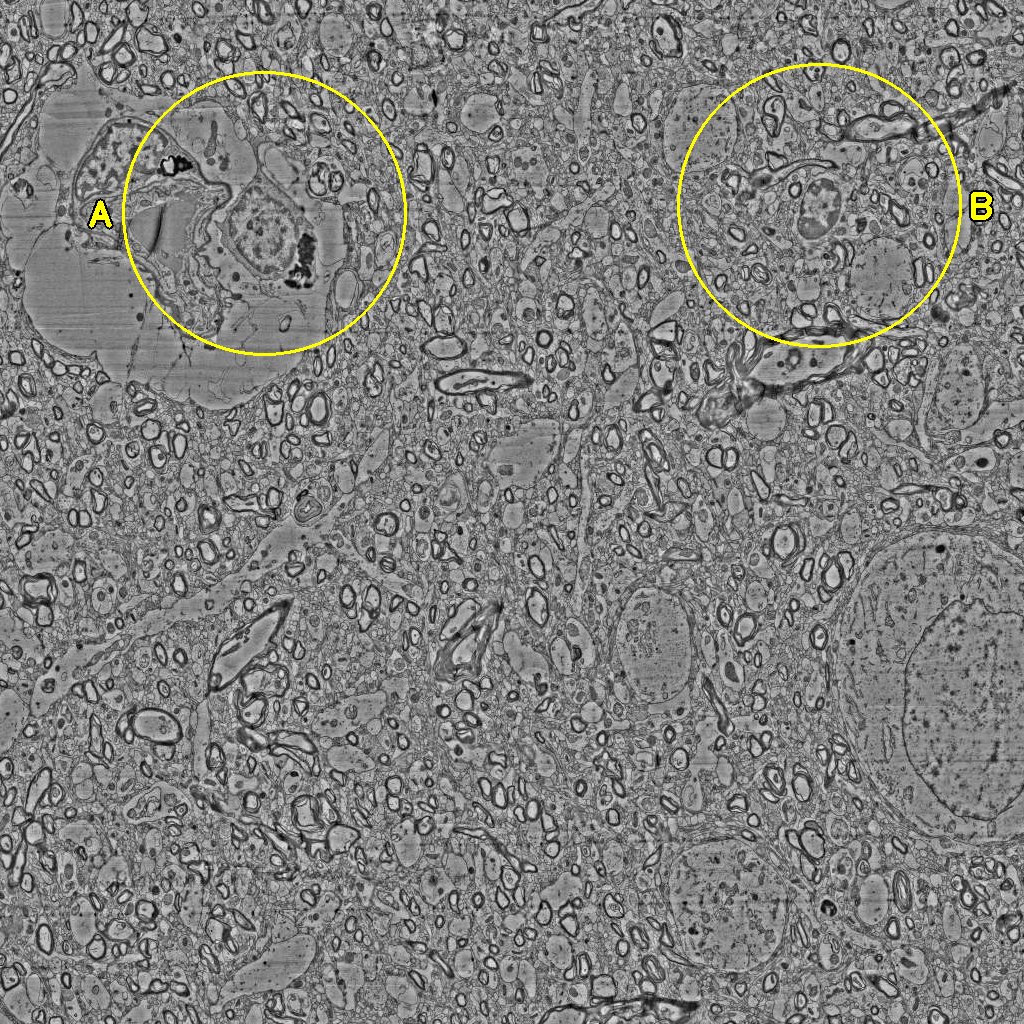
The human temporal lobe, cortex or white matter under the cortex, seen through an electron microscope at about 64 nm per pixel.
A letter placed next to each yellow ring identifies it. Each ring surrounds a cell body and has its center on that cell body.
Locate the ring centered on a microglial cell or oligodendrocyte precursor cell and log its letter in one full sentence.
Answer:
Ring B has at its center the cell that the task asks for.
